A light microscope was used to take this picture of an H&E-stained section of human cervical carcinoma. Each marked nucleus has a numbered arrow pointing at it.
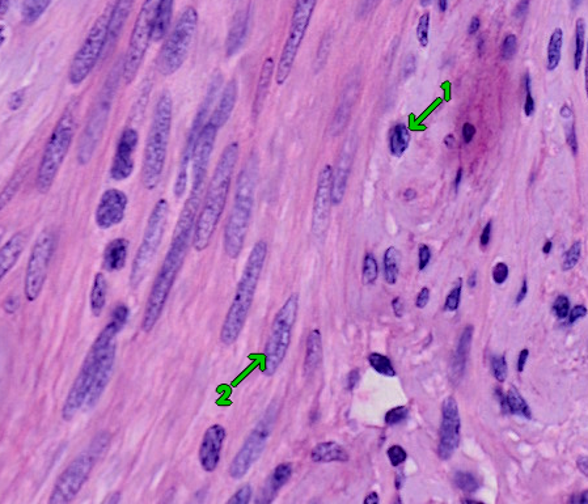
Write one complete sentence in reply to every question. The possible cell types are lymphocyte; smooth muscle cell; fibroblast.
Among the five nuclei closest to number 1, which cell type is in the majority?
Smooth muscle cells make up most of the five nuclei closest to number 1.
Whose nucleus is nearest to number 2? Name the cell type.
Number 2 lies closest to the nucleus of a smooth muscle cell.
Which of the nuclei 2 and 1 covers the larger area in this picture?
At about 2 times the area of nucleus 1, nucleus 2 is the larger of the two.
